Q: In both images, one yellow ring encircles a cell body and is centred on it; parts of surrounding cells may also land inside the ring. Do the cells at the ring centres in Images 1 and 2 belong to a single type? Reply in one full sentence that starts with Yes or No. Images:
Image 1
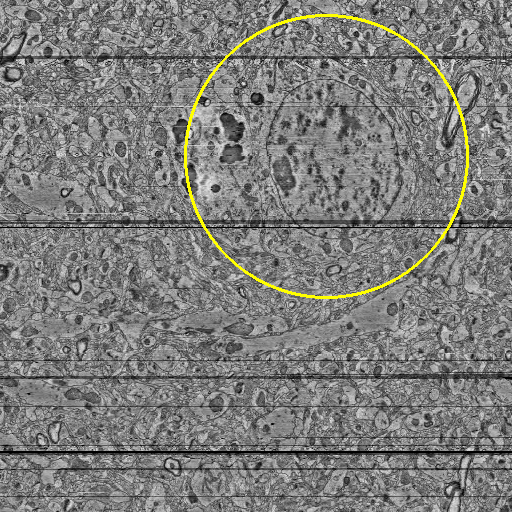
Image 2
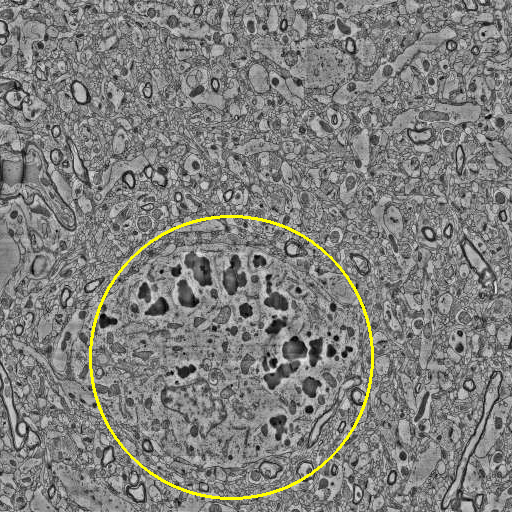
No, the cells at the ring centres in Images 1 and 2 are of two types.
